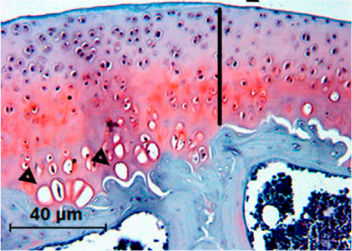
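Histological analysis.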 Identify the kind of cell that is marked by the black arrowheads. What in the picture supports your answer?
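Chondrocytes inside the lacuna. Round cells sit in clear rounded spaces in the matrix. The marked cells lie in the deep layer near the bone.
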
